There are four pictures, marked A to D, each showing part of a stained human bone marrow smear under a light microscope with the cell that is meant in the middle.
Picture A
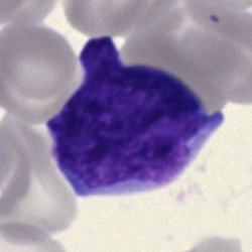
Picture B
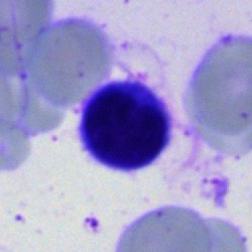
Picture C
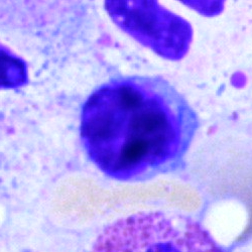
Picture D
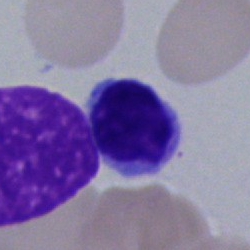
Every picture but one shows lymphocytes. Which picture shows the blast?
A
